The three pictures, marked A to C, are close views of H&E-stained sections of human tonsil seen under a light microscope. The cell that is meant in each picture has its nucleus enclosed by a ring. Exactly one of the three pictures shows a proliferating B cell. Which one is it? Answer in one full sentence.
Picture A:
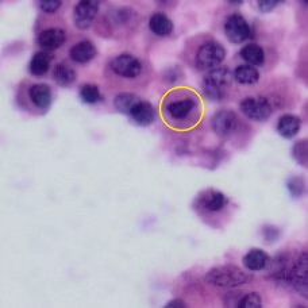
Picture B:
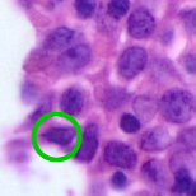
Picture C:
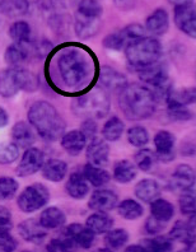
Picture C is the one that shows the proliferating B cell.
